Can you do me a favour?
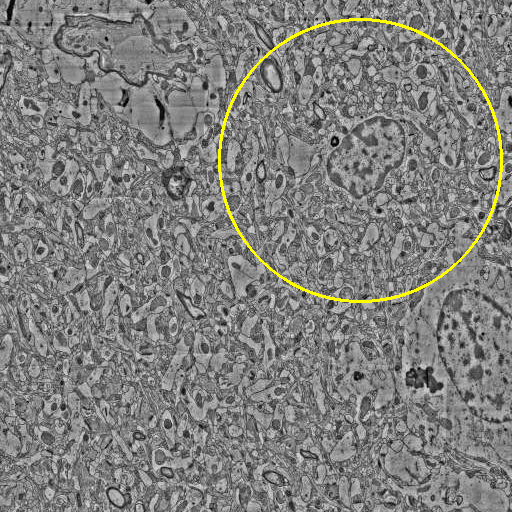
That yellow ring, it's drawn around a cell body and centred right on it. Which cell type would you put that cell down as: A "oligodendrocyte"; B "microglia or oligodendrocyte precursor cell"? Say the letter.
B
